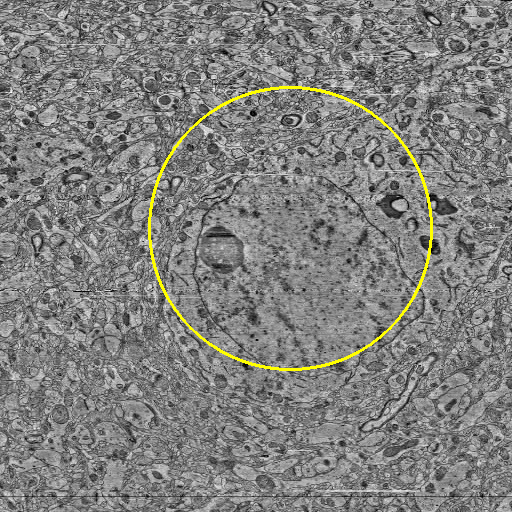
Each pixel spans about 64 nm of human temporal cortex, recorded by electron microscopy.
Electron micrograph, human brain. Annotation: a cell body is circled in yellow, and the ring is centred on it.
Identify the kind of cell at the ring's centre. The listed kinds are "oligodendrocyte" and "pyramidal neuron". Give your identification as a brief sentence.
The circled cell body is that of a pyramidal neuron.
